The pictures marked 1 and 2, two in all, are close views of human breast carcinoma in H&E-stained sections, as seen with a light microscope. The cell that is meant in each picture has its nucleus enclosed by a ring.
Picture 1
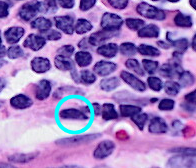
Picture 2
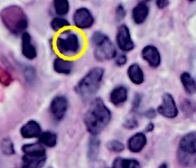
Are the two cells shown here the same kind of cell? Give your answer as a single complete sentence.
Yes, both are lymphocytes.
